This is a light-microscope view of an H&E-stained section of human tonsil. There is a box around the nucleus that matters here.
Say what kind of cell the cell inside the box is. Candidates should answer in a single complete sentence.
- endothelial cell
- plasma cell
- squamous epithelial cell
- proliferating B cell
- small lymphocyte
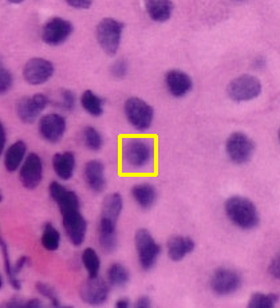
In cellular terms, the cell inside the box is a squamous epithelial cell.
